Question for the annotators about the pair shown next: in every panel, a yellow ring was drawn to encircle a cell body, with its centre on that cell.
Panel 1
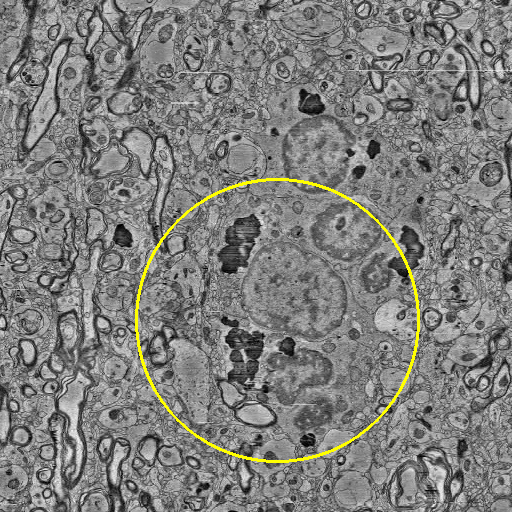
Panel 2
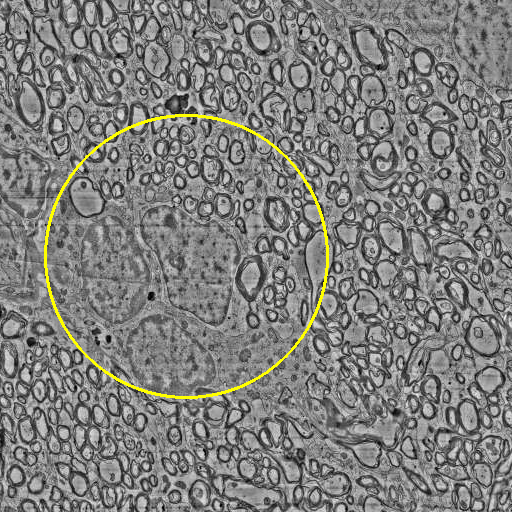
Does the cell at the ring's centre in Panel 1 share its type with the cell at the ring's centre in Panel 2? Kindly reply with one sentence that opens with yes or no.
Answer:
No, in Panels 1 and 2 the cells at the ring centres belong to separate types.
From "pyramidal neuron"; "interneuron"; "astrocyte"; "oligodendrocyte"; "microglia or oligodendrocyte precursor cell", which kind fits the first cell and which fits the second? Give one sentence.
The cell marked in the first picture is an oligodendrocyte, and the one marked in the second is a microglial cell or oligodendrocyte precursor cell.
